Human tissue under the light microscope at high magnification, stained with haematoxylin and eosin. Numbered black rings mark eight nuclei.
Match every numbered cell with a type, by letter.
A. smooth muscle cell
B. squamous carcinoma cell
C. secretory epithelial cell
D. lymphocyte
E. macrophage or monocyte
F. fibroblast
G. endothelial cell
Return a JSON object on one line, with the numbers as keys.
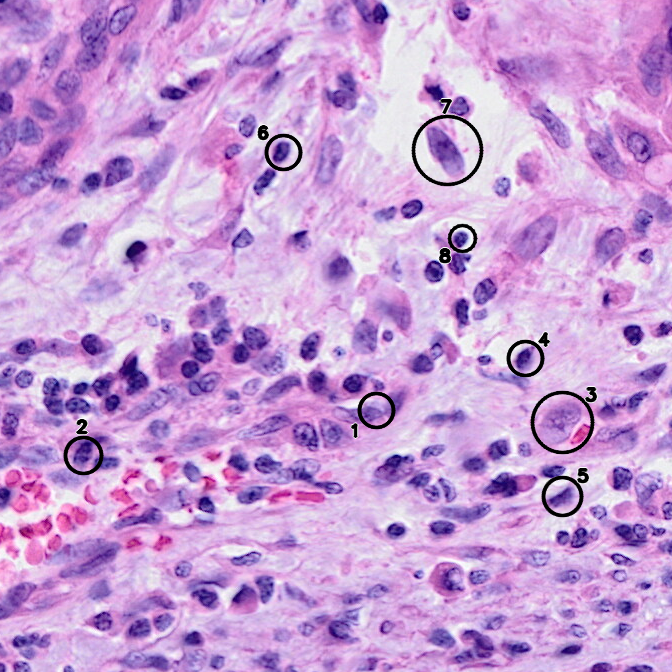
{"1": "G", "2": "D", "3": "G", "4": "D", "5": "D", "6": "D", "7": "E", "8": "D"}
